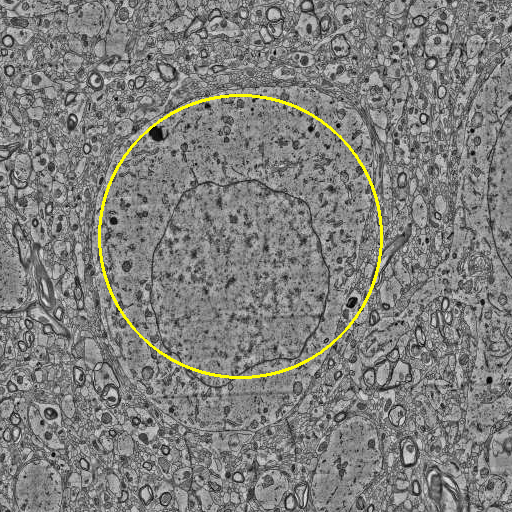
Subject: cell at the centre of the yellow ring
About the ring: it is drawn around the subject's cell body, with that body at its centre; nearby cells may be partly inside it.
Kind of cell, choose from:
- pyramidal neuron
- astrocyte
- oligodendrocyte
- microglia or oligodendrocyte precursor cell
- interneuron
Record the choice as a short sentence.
The subject cell is a pyramidal neuron.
